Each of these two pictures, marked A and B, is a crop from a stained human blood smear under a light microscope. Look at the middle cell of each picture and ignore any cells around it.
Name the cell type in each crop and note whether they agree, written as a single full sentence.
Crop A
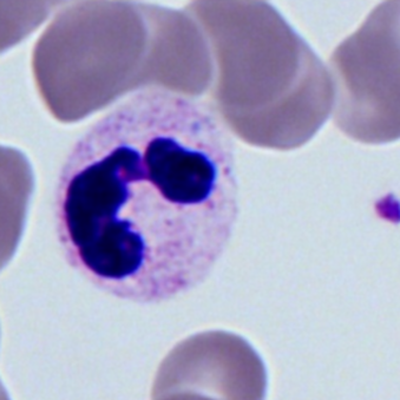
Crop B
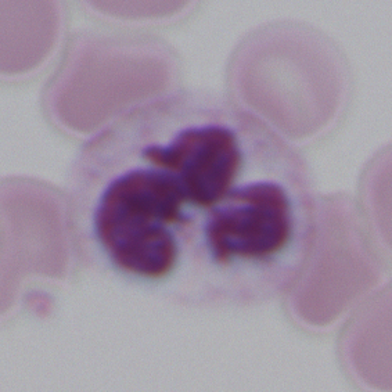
Yes, with regard to both crops, the central cells are neutrophils.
